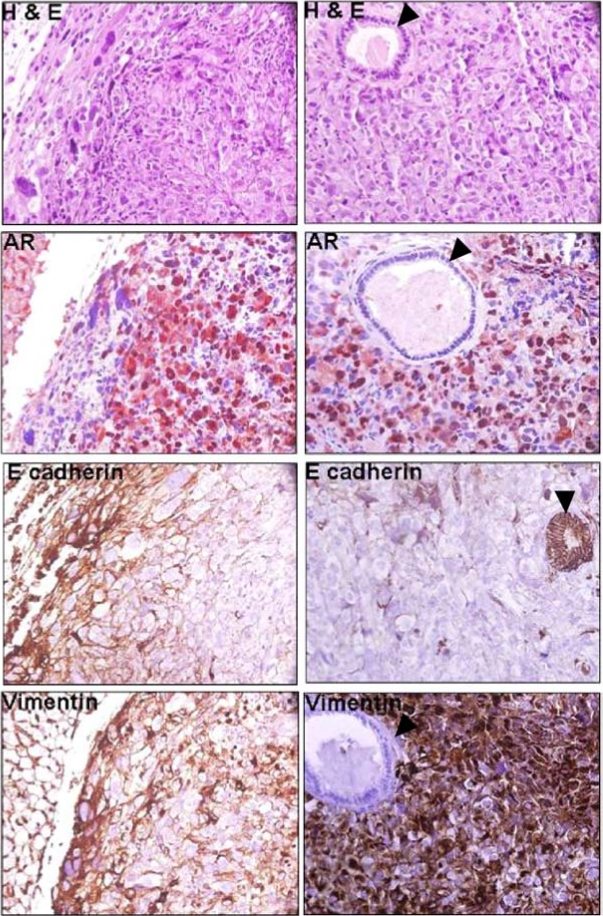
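In some fields a small round gland stands out among them. It is lined by a single neat layer of epithelial cells around an open lumen holding pale pink material. The lining of the small gland reacts quite differently from the surrounding sheet, which makes it easy to pick out.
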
